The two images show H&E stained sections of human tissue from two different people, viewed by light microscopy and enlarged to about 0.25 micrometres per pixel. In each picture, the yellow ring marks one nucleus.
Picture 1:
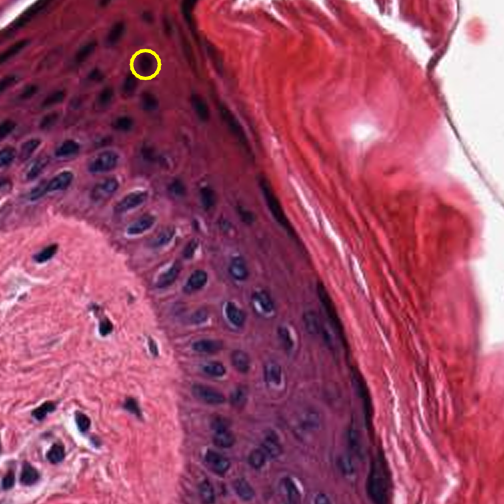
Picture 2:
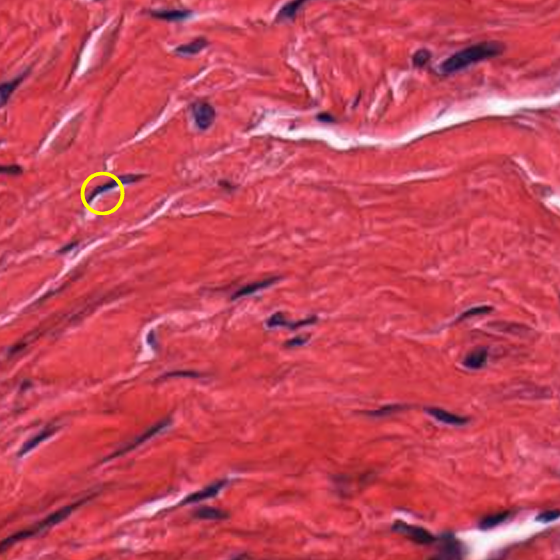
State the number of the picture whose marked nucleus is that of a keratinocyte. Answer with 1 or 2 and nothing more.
1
